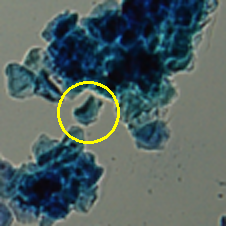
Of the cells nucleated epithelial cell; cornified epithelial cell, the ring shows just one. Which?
The ring shows a cornified epithelial cell.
